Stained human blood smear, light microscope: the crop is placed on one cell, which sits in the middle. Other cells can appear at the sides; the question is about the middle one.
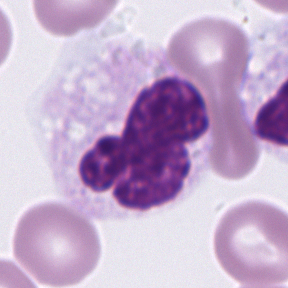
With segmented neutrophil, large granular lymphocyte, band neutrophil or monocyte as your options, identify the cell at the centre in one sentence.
The cell of interest, in the center, is a segmented neutrophil.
